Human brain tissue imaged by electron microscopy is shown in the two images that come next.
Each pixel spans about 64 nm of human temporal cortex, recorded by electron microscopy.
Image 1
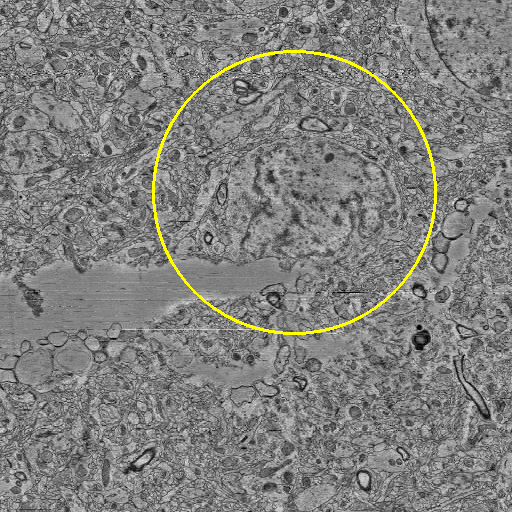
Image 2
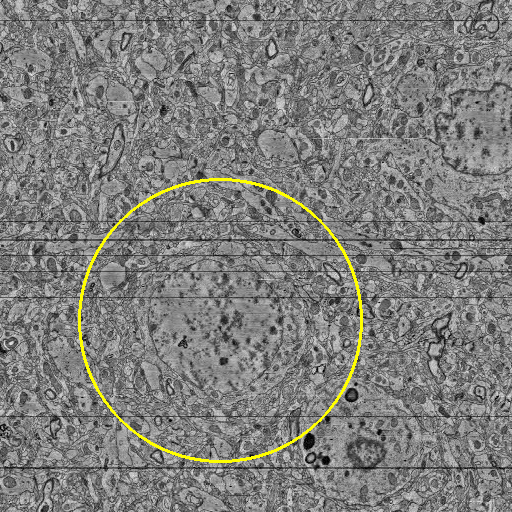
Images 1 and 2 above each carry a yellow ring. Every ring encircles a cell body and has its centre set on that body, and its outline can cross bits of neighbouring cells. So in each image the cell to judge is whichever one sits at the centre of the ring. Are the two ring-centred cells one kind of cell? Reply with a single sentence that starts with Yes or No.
Yes, in Image 1 and Image 2 the cells at the centres of their rings fall into one type.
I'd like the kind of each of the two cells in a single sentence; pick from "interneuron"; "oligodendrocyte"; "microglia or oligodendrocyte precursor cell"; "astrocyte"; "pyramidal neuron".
In both pictures the ring is centred on an interneuron.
